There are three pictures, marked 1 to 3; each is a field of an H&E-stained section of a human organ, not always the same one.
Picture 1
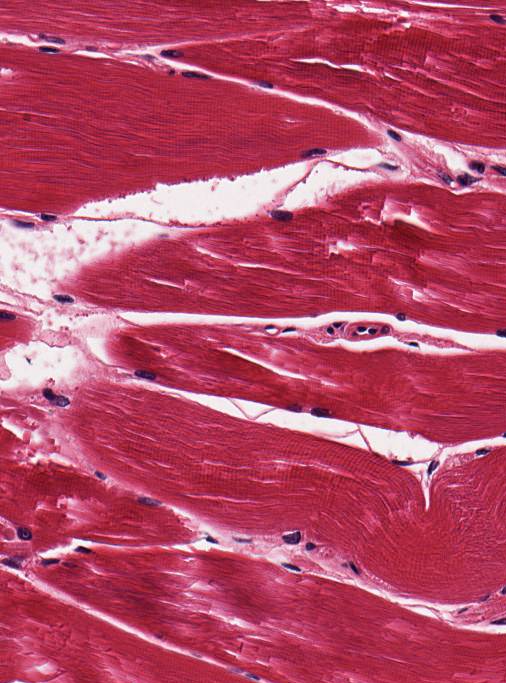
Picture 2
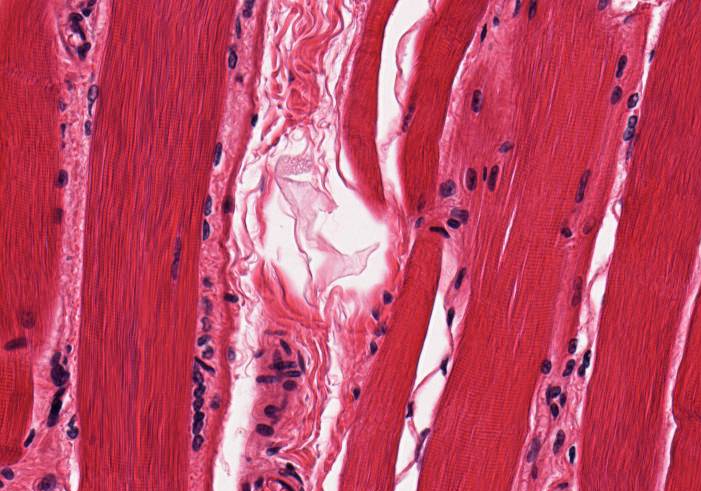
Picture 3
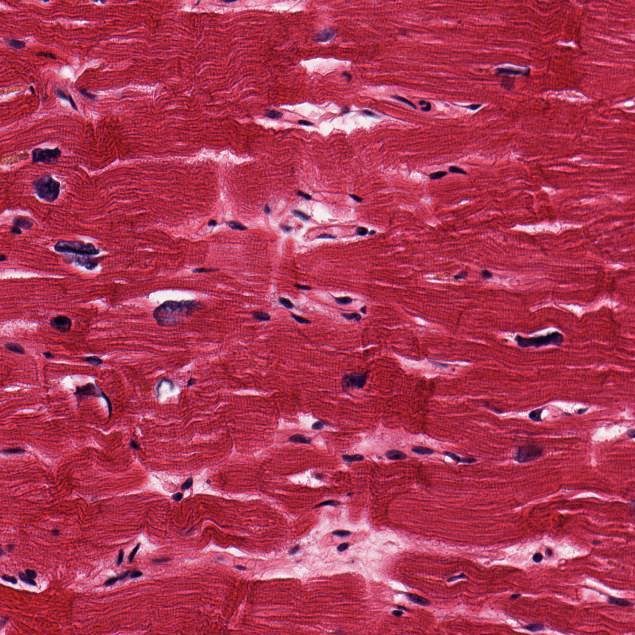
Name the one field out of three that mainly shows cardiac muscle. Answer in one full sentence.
Picture 3 mainly shows cardiac muscle.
